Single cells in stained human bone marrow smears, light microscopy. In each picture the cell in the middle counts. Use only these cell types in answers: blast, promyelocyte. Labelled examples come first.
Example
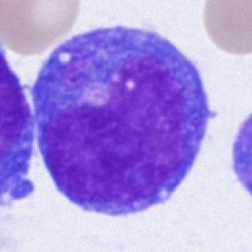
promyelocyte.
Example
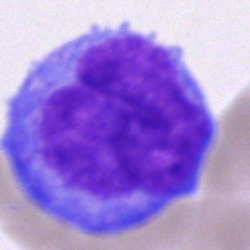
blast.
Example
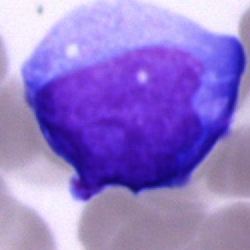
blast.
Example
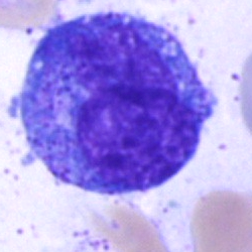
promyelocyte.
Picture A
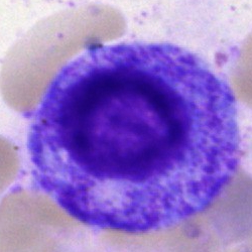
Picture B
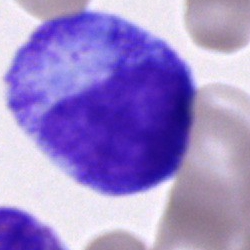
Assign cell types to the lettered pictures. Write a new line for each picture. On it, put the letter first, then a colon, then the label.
A: promyelocyte.
B: promyelocyte.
